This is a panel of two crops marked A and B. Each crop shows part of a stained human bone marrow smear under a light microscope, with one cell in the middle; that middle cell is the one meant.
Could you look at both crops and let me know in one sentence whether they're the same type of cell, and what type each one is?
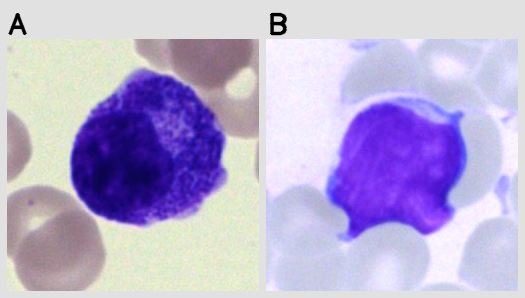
No, just to correct that: crop A shows a myelocyte, crop B shows a blast.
